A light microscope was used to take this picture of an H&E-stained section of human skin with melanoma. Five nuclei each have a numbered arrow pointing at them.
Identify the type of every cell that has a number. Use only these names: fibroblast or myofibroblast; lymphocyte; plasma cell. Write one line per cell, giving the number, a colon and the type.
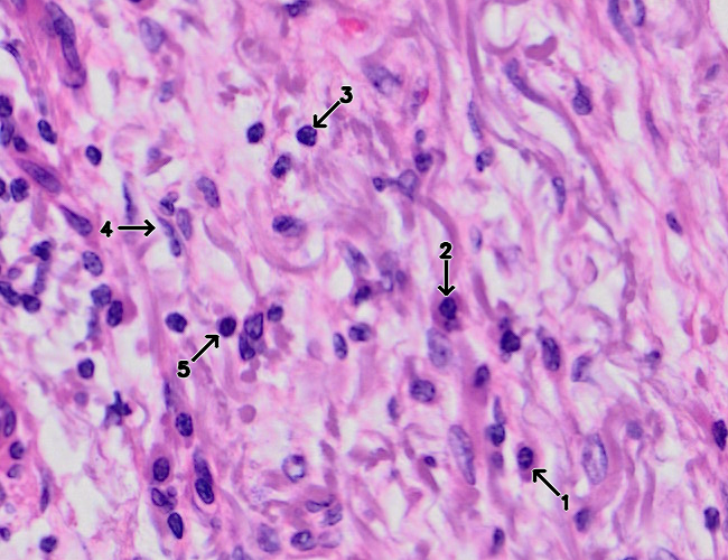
1: plasma cell
2: plasma cell
3: lymphocyte
4: fibroblast or myofibroblast
5: plasma cell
